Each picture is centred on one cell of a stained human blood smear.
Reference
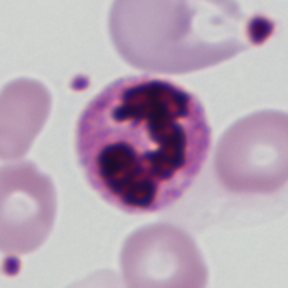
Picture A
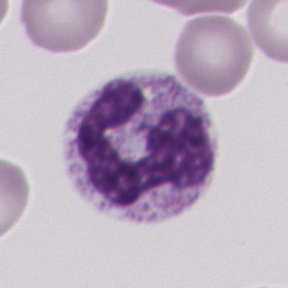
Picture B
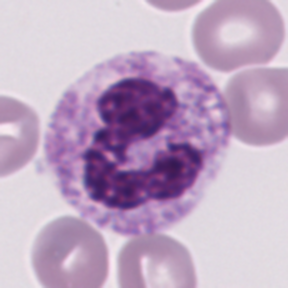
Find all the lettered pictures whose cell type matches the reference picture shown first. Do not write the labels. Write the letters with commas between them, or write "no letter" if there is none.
A, B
